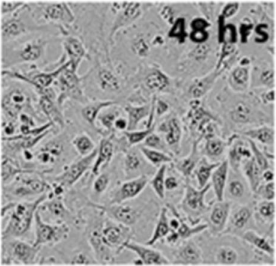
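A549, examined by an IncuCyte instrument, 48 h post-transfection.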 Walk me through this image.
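A dense, nearly confluent layer of cultured cells is seen unstained under phase contrast, with polygonal and elongated spindle-shaped cells lying closely side by side. Many cells show a round to oval nucleus with one or more visible nucleoli and a granular cytoplasm. Scattered among them are a few small, dark, rounded cells.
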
